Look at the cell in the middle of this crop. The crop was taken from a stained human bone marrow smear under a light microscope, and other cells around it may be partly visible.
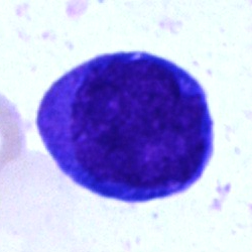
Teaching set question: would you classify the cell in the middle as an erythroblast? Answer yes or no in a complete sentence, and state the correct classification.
No, the cell centered in the crop is a blast, not an erythroblast.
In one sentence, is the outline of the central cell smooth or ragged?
There are no projections here; the outline is simply smooth.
